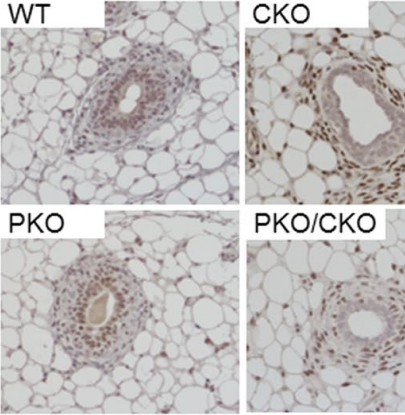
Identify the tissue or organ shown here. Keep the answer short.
mammary gland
